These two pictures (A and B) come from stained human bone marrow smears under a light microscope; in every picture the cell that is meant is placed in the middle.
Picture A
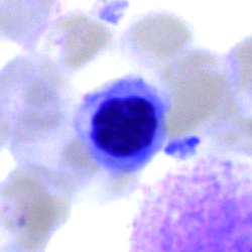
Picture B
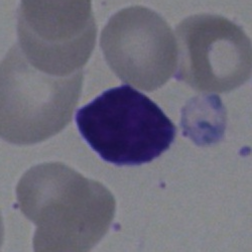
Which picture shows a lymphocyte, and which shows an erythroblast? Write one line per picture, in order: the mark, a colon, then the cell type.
A: erythroblast
B: lymphocyte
